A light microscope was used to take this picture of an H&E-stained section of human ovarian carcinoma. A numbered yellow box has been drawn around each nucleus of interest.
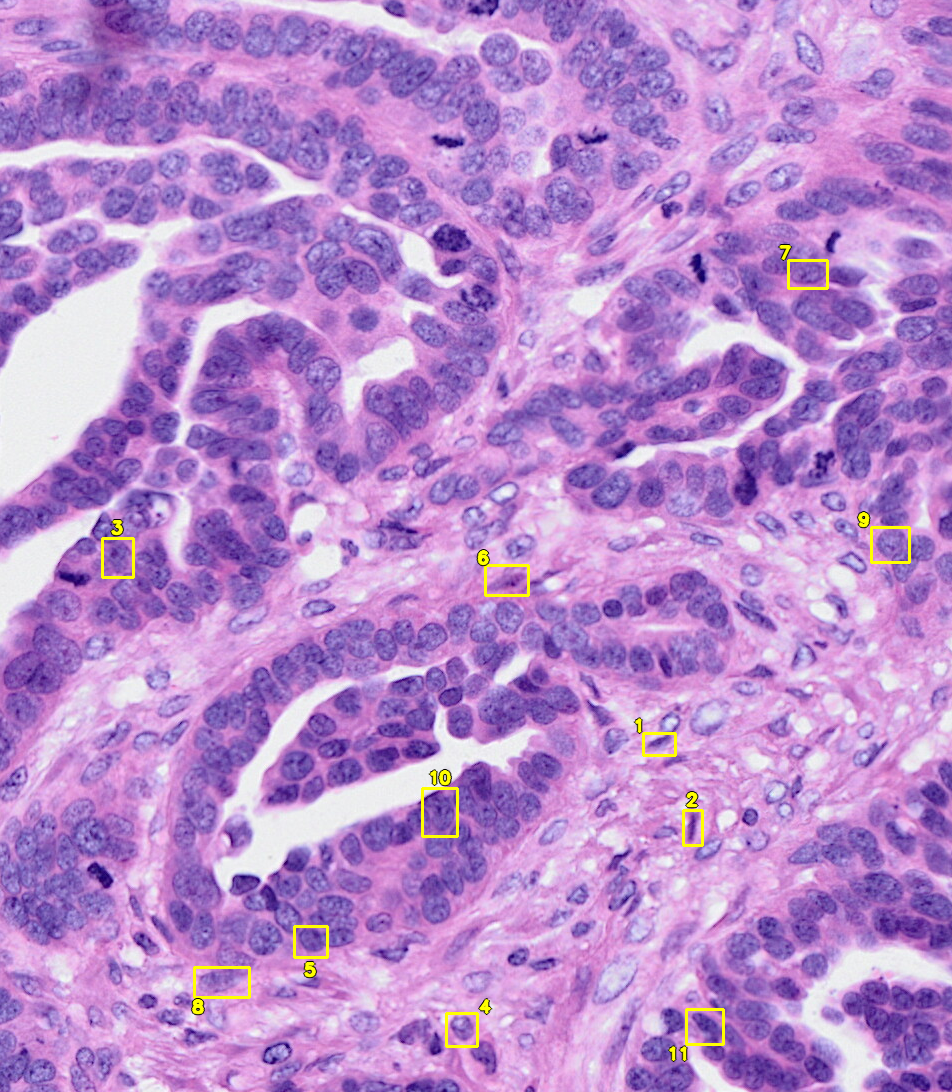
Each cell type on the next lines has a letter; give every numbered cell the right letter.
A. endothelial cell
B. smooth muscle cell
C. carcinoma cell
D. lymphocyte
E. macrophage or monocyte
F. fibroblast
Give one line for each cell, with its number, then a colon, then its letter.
1: F
2: F
3: C
4: E
5: C
6: F
7: C
8: F
9: C
10: C
11: C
